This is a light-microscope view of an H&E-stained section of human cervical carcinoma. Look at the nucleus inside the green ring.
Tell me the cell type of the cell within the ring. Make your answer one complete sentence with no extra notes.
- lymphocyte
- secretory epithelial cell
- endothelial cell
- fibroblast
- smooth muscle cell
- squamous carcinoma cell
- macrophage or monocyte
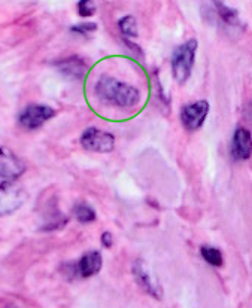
In this field of tissue, the cell within the ring is a macrophage or monocyte.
